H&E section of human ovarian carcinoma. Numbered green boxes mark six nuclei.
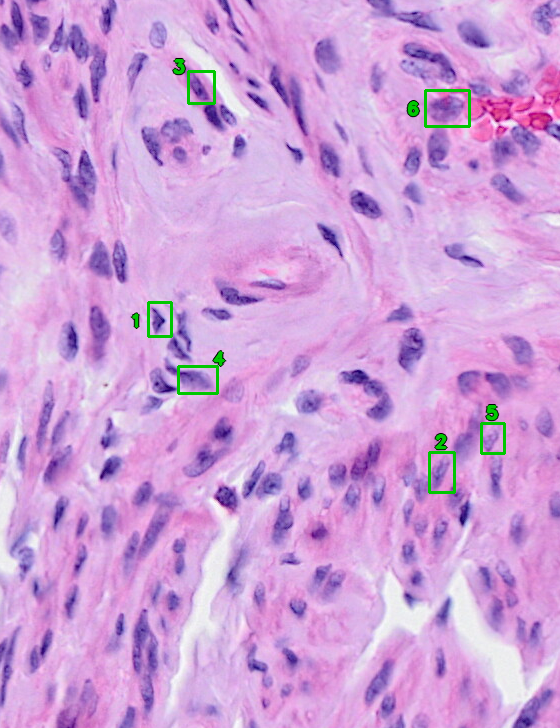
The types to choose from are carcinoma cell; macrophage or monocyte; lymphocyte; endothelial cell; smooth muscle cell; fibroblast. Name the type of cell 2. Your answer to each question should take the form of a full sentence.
Cell 2, as marked in the section, is a smooth muscle cell.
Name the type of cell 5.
The cell indicated with the number 5 is classed as a smooth muscle cell.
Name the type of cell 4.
The cell that goes by number 4 is a fibroblast.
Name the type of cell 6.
Cell 6 in the field is an endothelial cell.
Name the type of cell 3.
Regarding cell 3, this one is an endothelial cell.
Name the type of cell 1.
The correct answer for cell 1 is a fibroblast.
